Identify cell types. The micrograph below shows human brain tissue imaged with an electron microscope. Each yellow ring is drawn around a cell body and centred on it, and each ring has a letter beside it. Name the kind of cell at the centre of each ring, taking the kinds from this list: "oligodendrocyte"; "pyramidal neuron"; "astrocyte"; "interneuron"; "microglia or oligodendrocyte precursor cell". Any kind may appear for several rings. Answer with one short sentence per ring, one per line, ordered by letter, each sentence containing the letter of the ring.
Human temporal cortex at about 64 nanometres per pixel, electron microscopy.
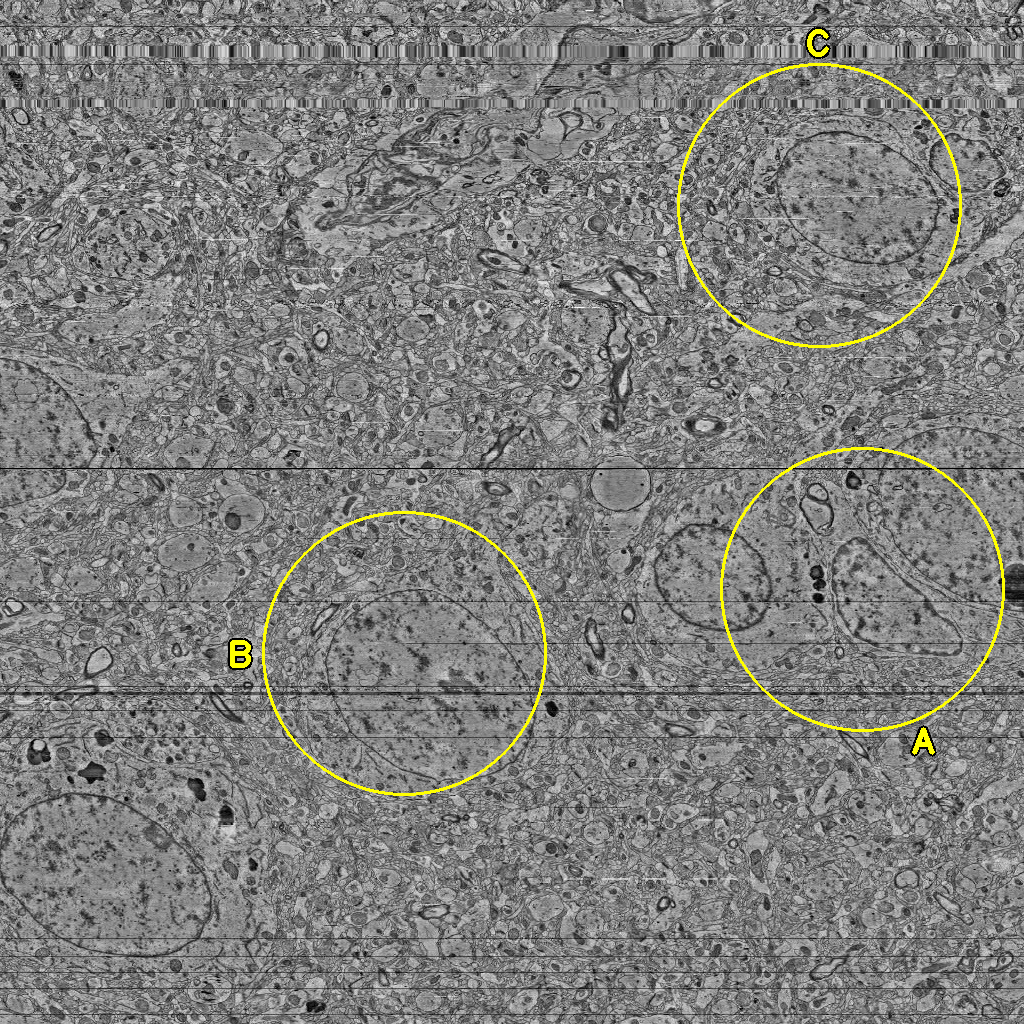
Ring A marks a microglial cell or oligodendrocyte precursor cell.
Ring B marks a pyramidal neuron.
Ring C marks a pyramidal neuron.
